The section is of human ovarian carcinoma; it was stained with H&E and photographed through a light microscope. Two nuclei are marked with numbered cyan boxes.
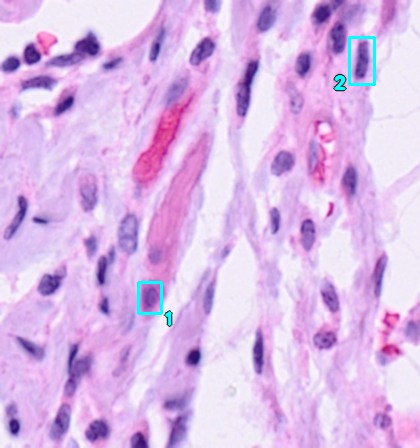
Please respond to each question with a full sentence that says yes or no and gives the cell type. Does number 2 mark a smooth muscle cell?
No, a smooth muscle cell is not what cell 2 is; it is a macrophage or monocyte.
